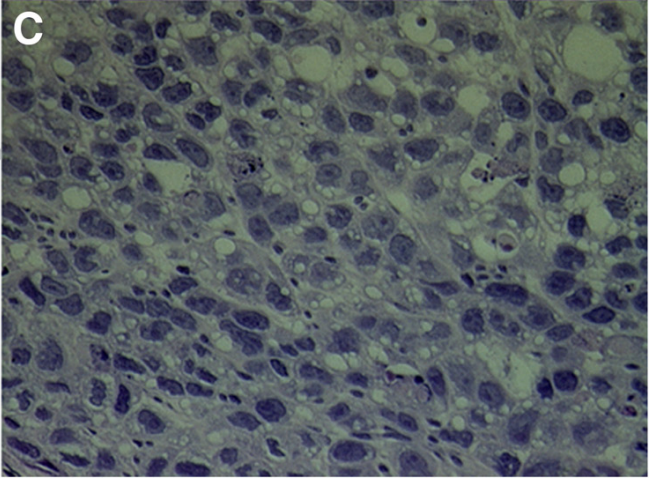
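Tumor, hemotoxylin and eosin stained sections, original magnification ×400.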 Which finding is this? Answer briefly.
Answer: cytoplasmic and nuclear vacuolation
